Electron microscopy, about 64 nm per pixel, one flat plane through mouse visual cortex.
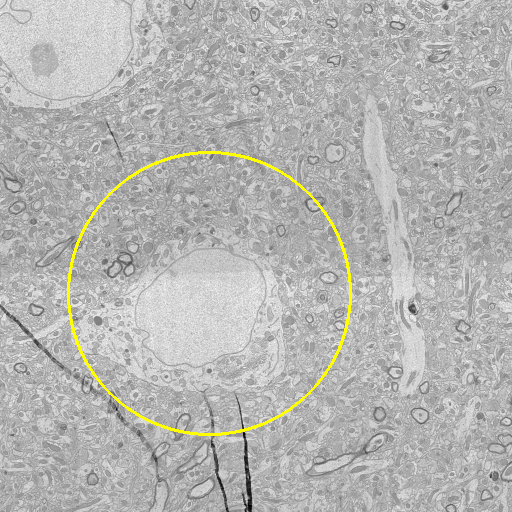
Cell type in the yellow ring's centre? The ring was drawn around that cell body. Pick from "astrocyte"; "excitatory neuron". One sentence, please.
The ringed cell body is that of an excitatory neuron.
